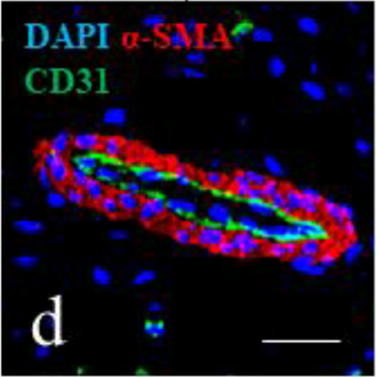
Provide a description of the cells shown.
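A small vessel of the microvasculature cut obliquely, appearing as an elongated oval in the tissue. Its lumen is a narrow slit lined by a thin green layer. A thick red wall of several layers of cells surrounds the green lining. Blue nuclei sit within the red wall and along the lining. Scattered blue nuclei lie in the dark surrounding tissue outside the vessel.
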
